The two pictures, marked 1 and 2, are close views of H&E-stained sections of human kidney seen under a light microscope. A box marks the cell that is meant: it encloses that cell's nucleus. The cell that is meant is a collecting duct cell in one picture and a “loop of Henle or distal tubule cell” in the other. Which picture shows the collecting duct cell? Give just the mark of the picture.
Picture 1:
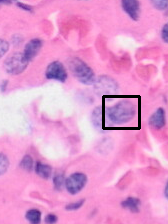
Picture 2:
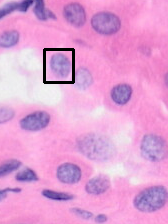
1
